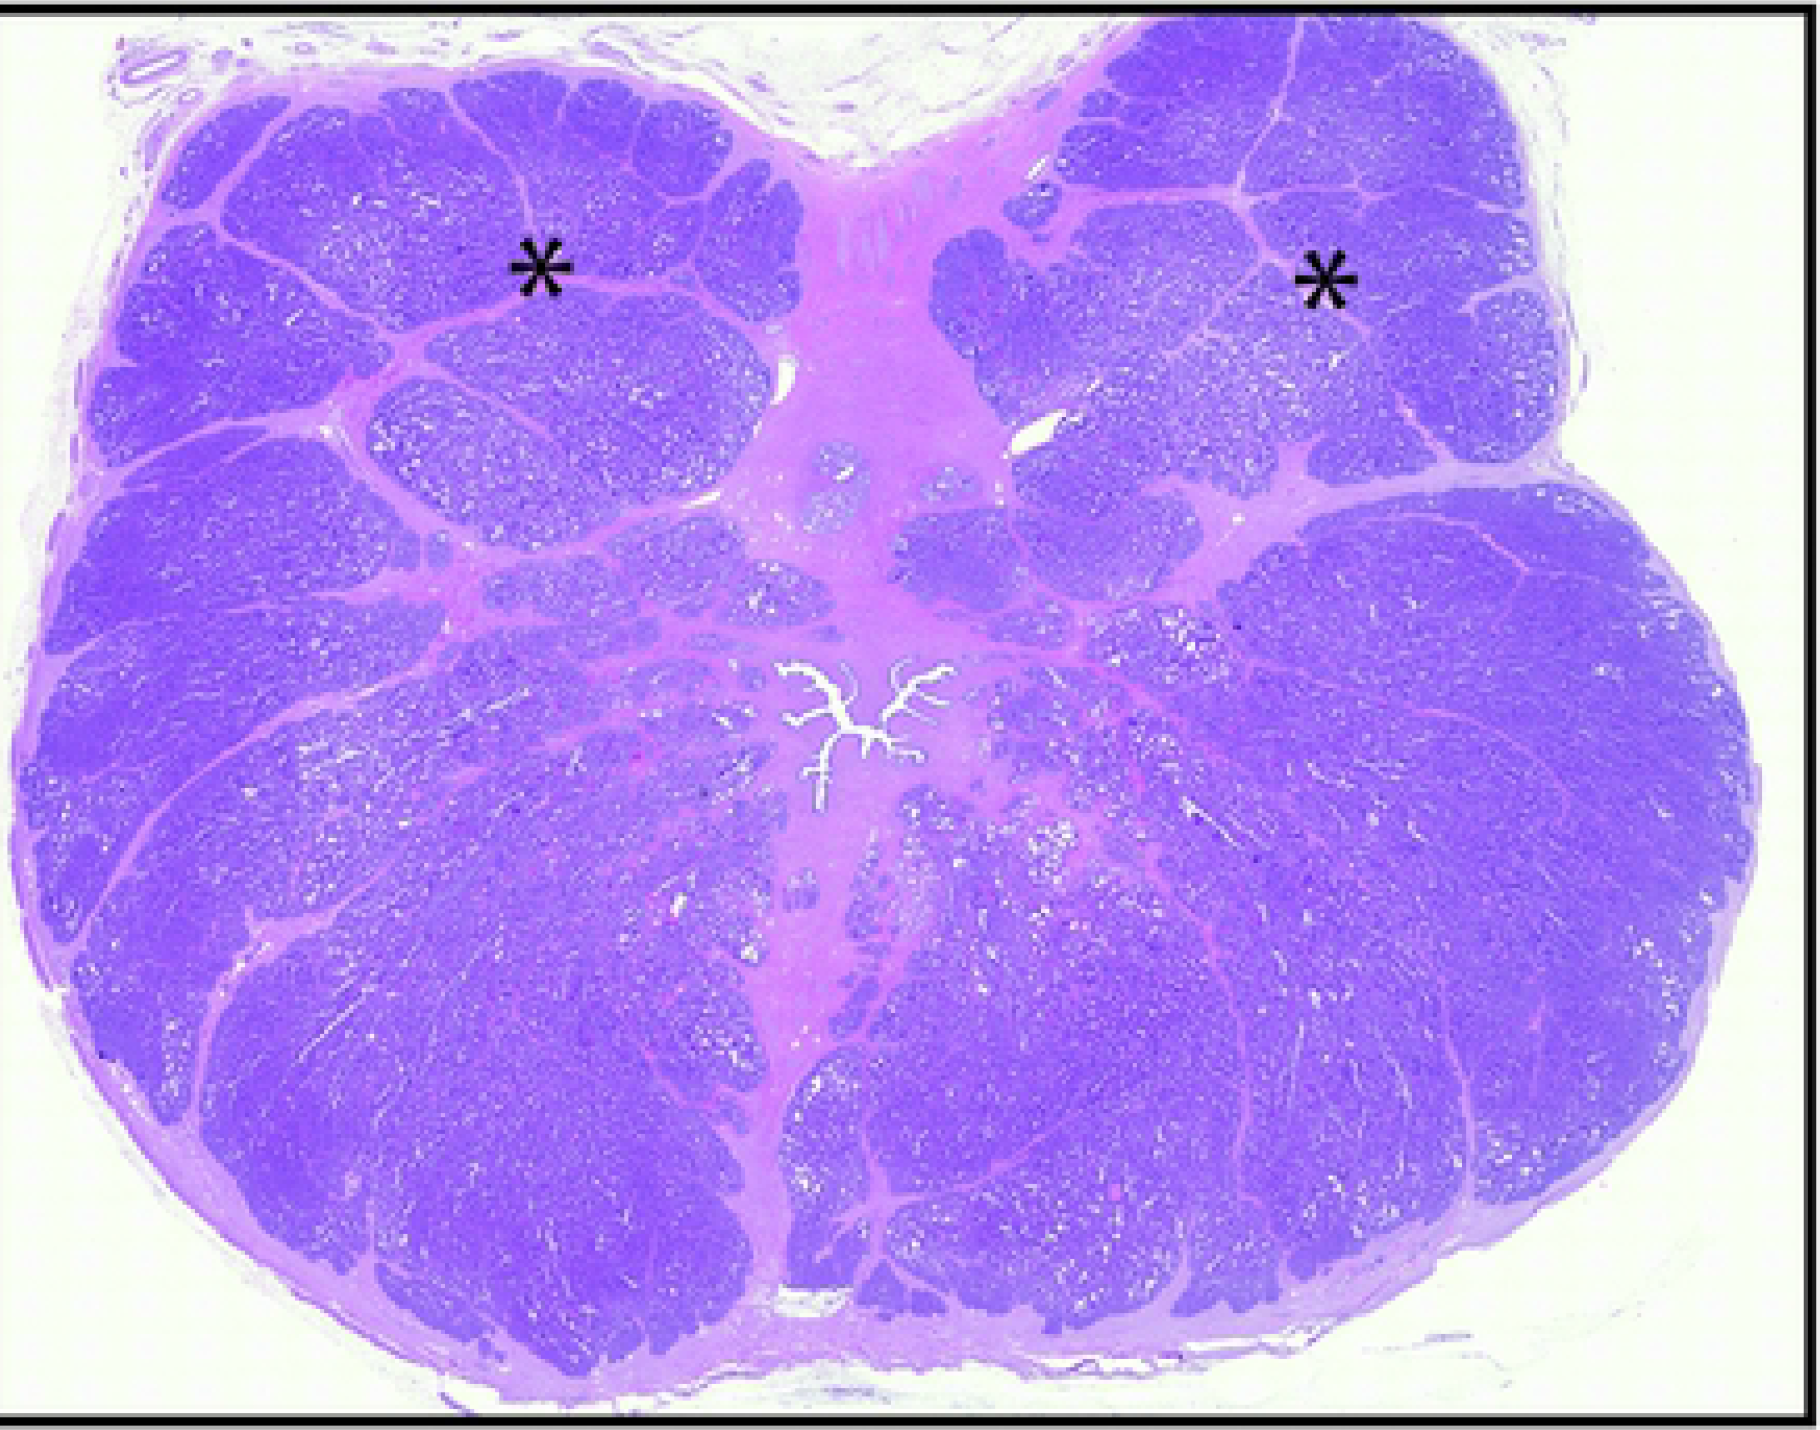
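A complete transverse section of a prostate is shown at low magnification, stained purple and pink. The gland is made of many densely packed purple glandular lobules, separated by thin pink strands of stroma that run radially and around the gland. At the center lies a small branched, star-shaped lumen of the urethra, embedded in a broad pink zone of stroma that extends upward toward a notch at the top of the section. The outer surface is bounded by a thin pale layer, and loose pale connective tissue lies outside it at the top. Two asterisks in the upper half mark lobules bordered by thin pink bands of stroma.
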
